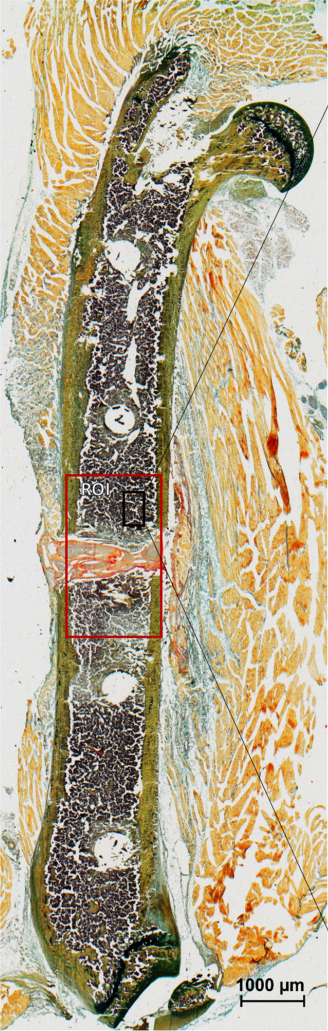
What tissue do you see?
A: Femur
